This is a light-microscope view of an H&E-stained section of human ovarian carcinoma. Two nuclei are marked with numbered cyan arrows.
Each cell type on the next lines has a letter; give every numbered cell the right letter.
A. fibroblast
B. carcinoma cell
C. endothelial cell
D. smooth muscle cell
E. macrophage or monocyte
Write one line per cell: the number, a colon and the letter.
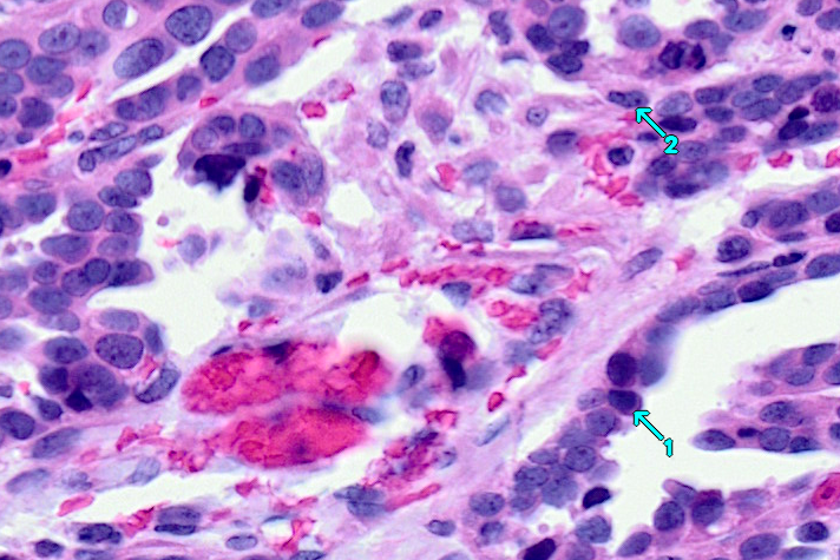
1: B
2: E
